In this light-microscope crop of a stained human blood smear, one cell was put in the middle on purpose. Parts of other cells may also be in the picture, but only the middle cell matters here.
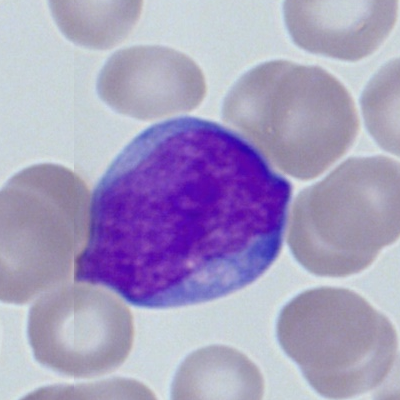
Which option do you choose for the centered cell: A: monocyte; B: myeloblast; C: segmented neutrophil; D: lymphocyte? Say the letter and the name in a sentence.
Here the central cell is a myeloblast, and option B is correct.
